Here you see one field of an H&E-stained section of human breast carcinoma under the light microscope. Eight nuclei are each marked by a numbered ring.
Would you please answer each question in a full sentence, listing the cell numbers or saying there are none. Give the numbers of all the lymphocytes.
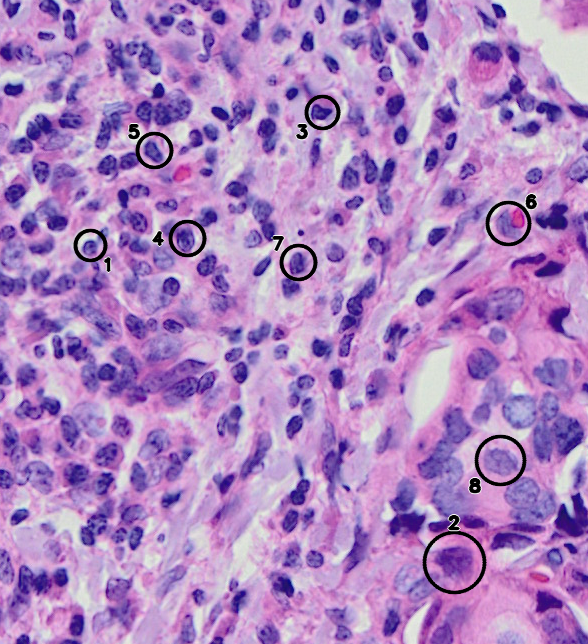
Regarding the numbered cells 1, 3, 4, 5 and 7, these are lymphocytes.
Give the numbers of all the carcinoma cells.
The cells 2 and 8 in this section are carcinoma cells.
